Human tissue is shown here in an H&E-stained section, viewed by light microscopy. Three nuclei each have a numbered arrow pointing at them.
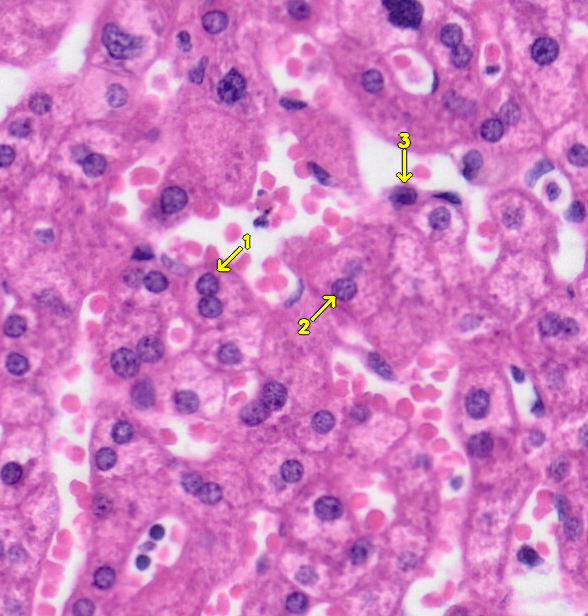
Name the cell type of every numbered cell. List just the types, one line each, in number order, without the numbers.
hepatocyte
hepatocyte
Kupffer cell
